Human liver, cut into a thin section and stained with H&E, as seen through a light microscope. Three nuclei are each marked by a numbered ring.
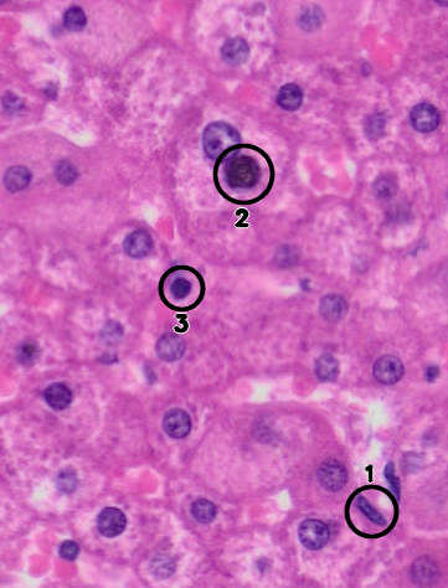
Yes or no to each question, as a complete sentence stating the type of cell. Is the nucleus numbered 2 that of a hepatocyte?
Yes, the cell at marker 2 is a hepatocyte.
